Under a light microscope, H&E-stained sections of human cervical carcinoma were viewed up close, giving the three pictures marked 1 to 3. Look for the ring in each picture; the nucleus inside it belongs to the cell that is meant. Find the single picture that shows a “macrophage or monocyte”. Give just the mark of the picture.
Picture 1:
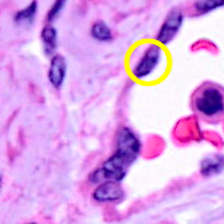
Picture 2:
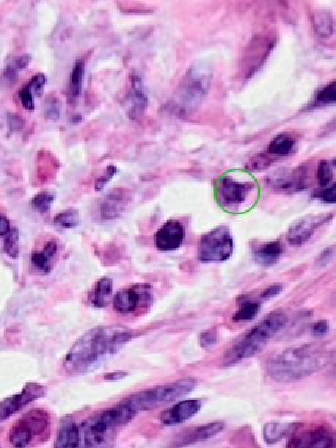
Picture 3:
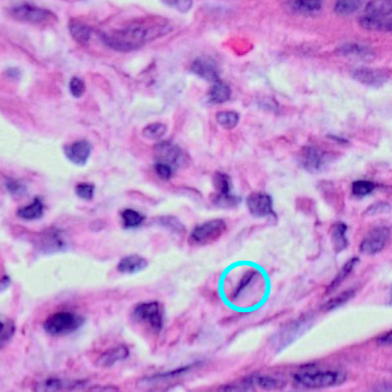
2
